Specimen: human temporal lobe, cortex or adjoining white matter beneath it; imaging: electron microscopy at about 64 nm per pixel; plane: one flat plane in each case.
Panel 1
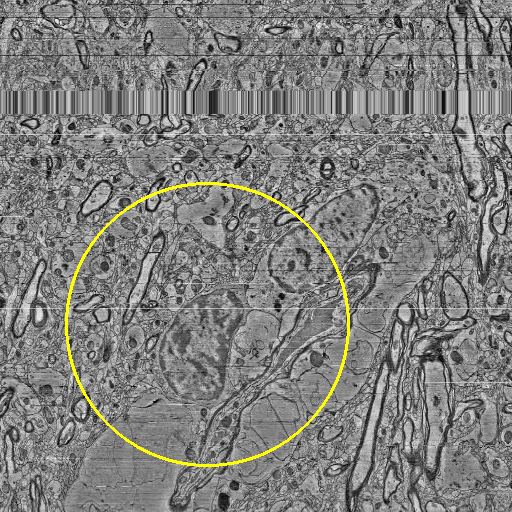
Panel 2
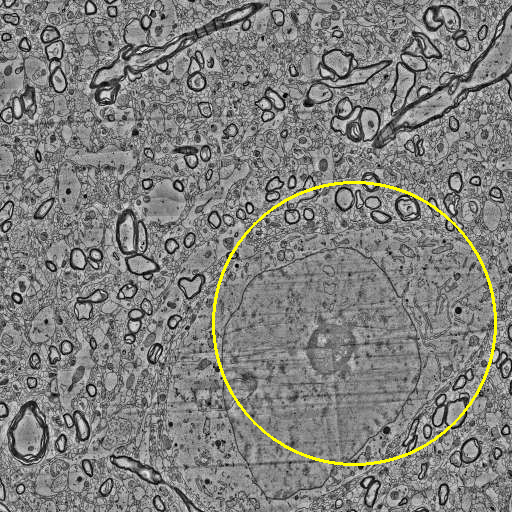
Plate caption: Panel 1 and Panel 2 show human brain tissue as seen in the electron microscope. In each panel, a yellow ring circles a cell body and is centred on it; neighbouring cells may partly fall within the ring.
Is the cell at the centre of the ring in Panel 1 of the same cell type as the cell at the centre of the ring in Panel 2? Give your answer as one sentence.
No, the two cells are of two types.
